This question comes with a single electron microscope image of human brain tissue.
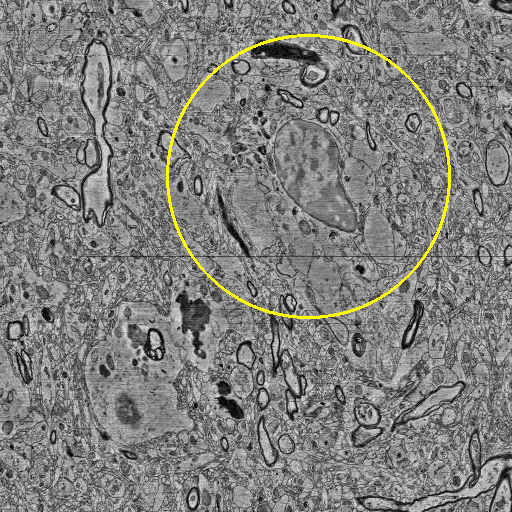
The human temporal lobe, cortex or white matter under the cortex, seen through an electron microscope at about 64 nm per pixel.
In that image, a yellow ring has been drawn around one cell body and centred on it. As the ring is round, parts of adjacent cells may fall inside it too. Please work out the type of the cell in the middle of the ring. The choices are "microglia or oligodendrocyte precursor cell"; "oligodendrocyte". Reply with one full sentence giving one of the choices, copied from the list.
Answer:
Of the choices, a microglial cell or oligodendrocyte precursor cell is the cell sitting in the middle of the ring.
